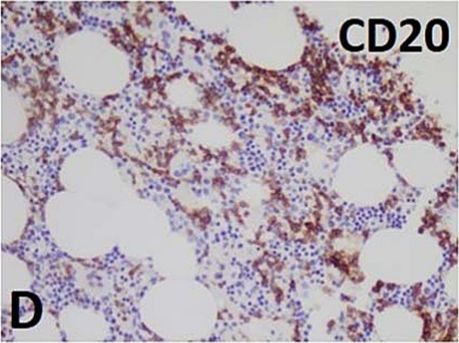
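Bone marrow with round empty fat spaces and cellular marrow between them, in which many small round cells carry a brown stain outlining their surfaces. The brown-stained cells form dense clusters and streaks, most heavily along the upper and right parts of the field, while other marrow cells show only blue nuclei.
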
